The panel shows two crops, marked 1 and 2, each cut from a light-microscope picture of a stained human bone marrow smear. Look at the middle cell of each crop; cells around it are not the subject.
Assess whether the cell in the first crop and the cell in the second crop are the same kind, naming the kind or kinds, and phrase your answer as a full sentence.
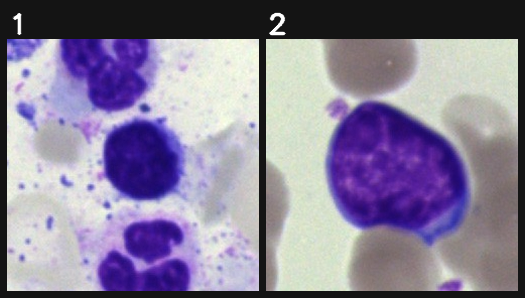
No, it is crop 1 that shows a lymphocyte, and crop 2 shows a blast.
